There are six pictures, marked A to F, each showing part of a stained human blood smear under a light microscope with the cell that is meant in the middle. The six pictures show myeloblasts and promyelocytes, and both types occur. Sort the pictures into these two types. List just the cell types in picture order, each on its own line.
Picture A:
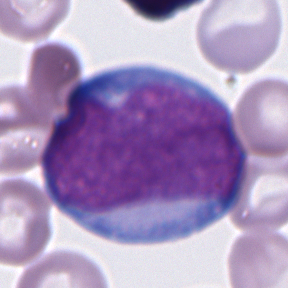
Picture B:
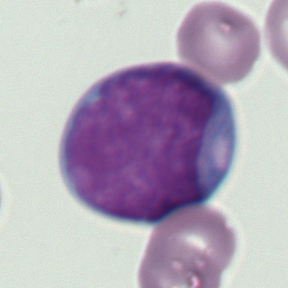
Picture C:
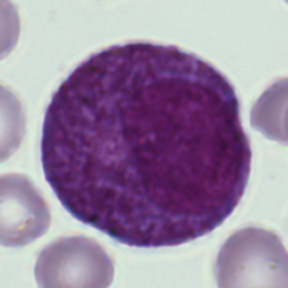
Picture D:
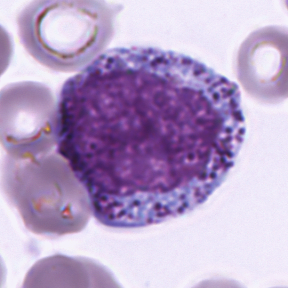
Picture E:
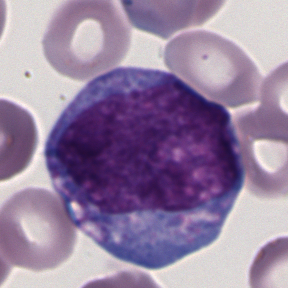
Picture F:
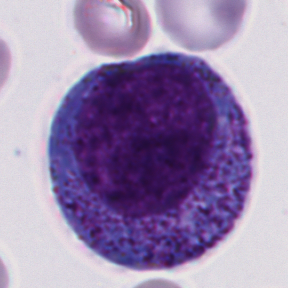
myeloblast
myeloblast
promyelocyte
promyelocyte
promyelocyte
promyelocyte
